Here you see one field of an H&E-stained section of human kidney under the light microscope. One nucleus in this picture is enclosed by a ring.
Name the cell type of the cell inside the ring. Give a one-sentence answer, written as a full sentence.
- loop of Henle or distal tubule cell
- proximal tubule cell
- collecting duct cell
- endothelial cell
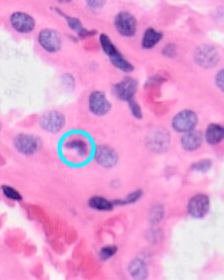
Just put down that the cell inside the ring is a loop of Henle or distal tubule cell.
